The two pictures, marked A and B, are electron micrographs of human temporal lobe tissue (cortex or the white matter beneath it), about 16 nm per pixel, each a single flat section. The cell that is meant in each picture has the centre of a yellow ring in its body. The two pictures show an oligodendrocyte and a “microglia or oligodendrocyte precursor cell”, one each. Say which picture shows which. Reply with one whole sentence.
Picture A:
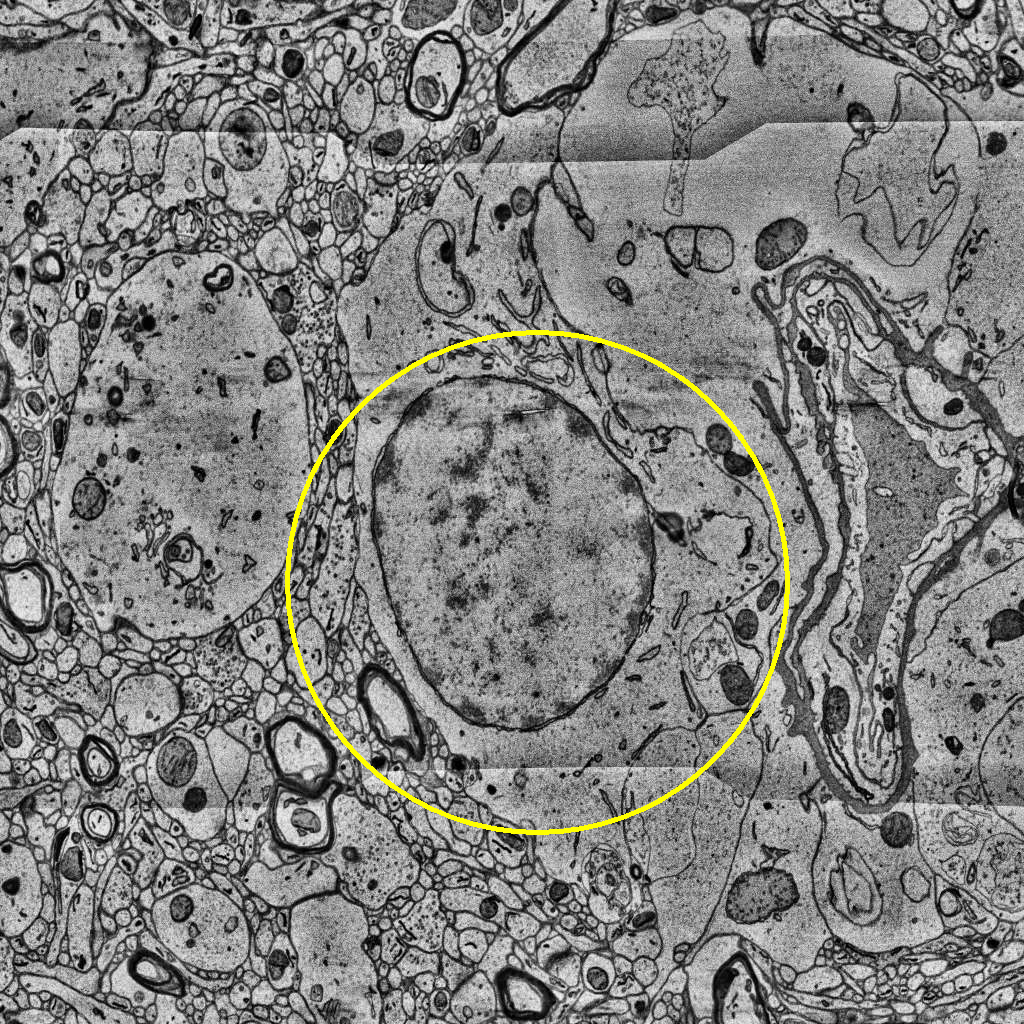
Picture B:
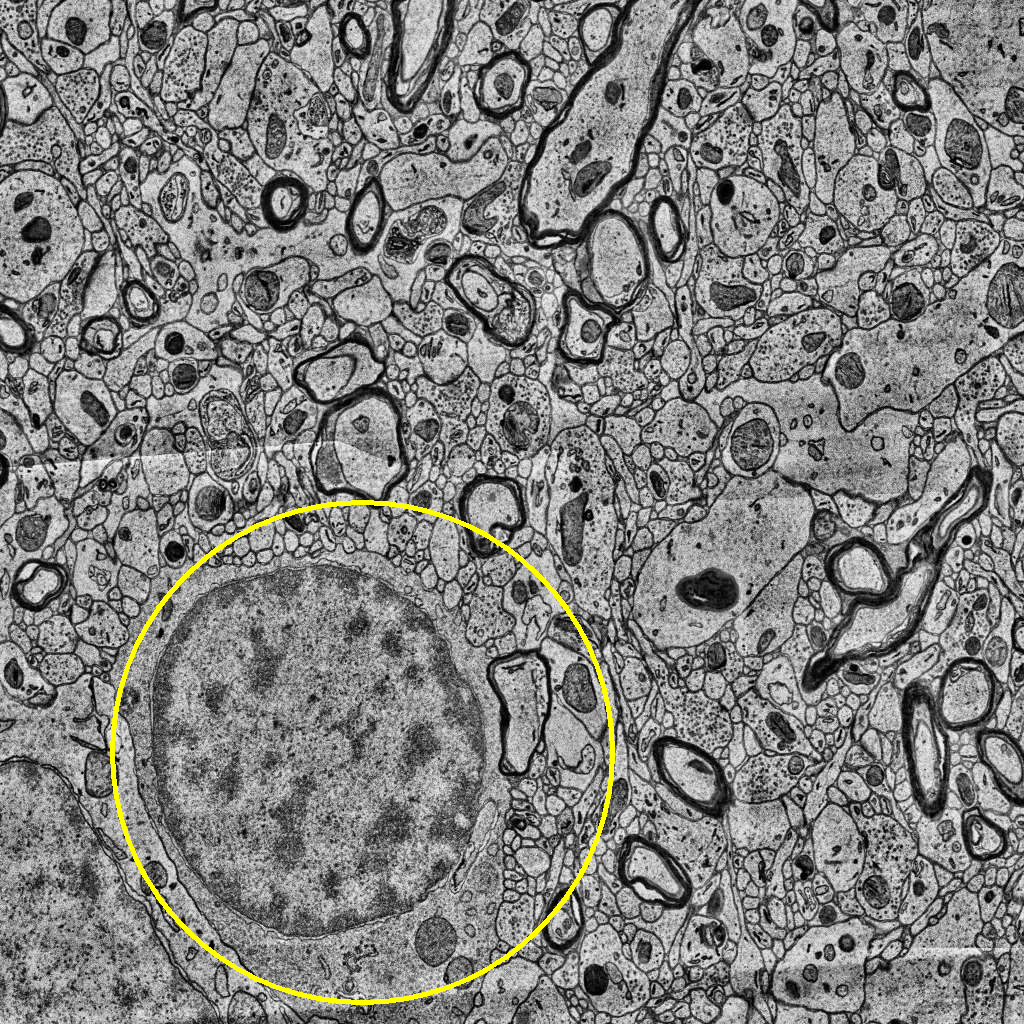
It is picture A that shows a “microglia or oligodendrocyte precursor cell”, and picture B that shows an oligodendrocyte.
